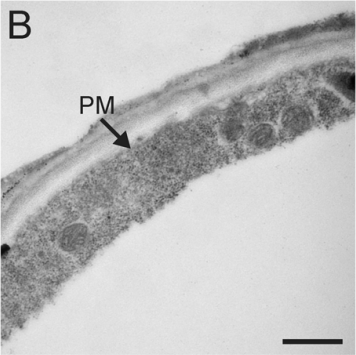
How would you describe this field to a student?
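A layered cell wall runs diagonally across the upper part, and beneath it the plasma membrane borders a band of granular cytoplasm. Several rounded organelles with internal membranes, likely mitochondria and plastids, lie in this cytoplasmic band. Below the cytoplasm the vacuole appears as a pale, clear area without visible bodies.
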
